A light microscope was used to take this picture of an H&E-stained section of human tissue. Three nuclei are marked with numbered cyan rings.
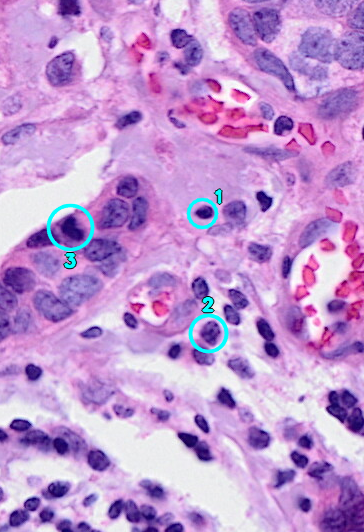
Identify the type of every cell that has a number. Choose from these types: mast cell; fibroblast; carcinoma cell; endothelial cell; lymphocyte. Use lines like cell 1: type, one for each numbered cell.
cell 1: lymphocyte
cell 2: lymphocyte
cell 3: carcinoma cell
